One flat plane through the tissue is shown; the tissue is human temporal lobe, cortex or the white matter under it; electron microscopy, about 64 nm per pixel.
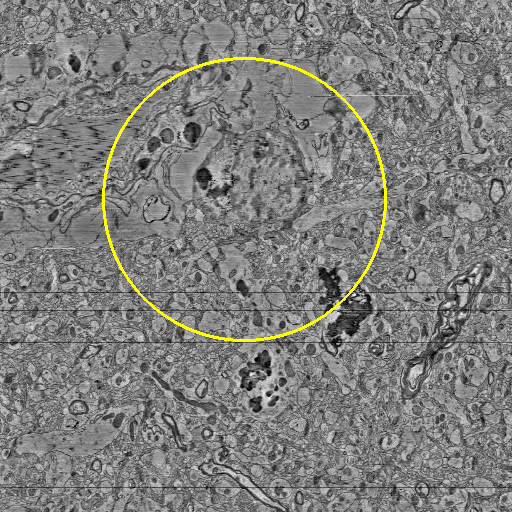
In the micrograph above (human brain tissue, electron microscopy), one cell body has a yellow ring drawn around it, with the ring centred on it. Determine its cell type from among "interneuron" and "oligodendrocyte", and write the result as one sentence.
The cell whose body is ringed is an oligodendrocyte.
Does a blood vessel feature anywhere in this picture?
Yes, one shows.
